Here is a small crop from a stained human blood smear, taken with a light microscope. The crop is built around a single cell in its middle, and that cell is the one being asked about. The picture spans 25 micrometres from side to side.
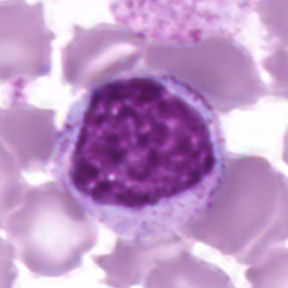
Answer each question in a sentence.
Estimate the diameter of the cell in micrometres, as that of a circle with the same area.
About 13 micrometres: that is the cell's diameter.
